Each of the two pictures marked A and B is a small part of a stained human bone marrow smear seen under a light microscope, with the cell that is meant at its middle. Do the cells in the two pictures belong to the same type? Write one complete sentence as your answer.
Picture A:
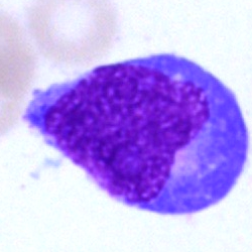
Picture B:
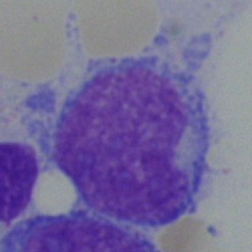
Yes, they are the same type: both are blasts.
